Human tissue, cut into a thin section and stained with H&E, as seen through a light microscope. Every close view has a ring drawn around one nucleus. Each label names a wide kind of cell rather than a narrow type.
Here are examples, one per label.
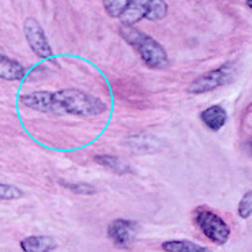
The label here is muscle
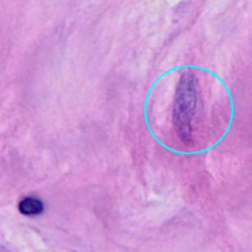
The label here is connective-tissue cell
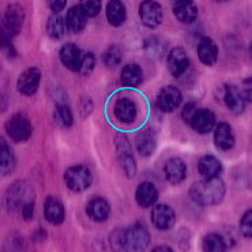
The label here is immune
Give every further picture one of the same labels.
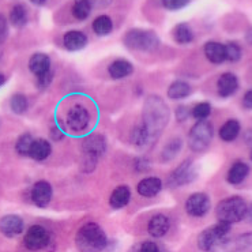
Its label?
immune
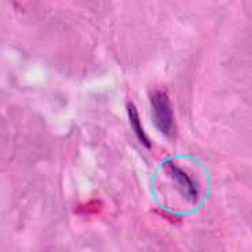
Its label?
connective-tissue cell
